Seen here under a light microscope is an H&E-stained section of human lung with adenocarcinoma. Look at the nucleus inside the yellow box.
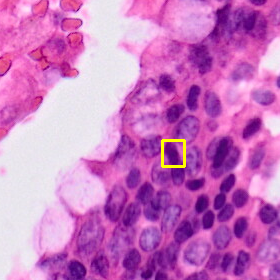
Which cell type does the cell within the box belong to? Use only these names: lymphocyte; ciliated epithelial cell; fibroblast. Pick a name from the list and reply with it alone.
ciliated epithelial cell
